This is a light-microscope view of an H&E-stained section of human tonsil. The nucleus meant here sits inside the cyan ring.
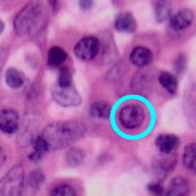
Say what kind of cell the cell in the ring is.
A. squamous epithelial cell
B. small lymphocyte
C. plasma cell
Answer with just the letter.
C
